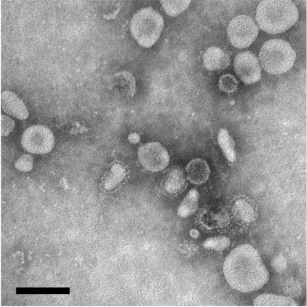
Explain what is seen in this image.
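The field shows many small, isolated, roughly round vesicles scattered over a grey, finely granular background. They vary in size, and the larger ones have a pale, mottled surface texture. Some vesicles appear cup-shaped or collapsed, with a darker rim or a darker centre. A few particles are elongated or irregular, and several lie in loose clusters.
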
